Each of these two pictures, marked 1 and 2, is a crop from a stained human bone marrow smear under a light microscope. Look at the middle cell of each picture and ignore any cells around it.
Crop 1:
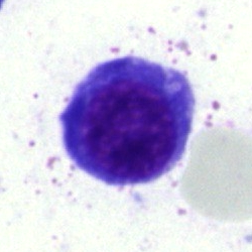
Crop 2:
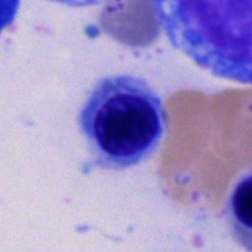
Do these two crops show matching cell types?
yes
